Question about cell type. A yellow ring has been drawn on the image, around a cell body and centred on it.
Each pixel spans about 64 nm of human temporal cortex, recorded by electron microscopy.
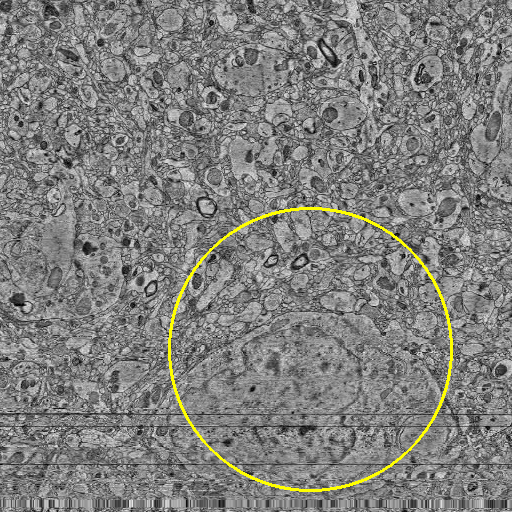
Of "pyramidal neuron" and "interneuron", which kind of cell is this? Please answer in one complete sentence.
At the centre of the ring lies an interneuron.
